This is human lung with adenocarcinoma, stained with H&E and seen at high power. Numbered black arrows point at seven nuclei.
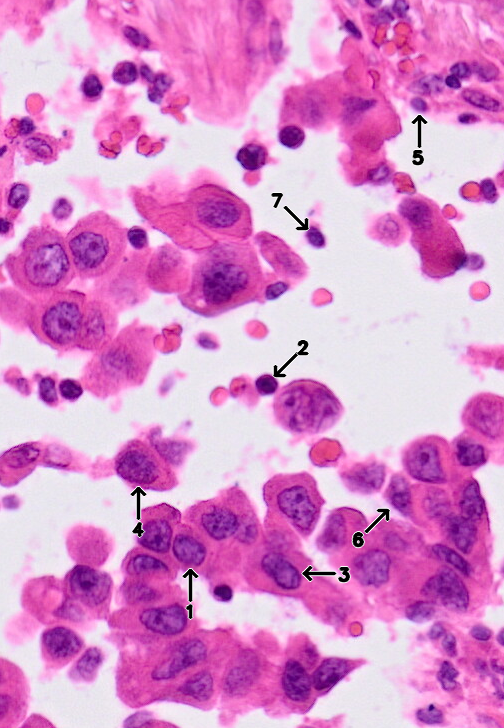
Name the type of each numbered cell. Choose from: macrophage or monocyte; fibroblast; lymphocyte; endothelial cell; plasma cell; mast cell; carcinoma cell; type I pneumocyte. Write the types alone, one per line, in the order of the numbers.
carcinoma cell
lymphocyte
carcinoma cell
carcinoma cell
lymphocyte
carcinoma cell
lymphocyte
